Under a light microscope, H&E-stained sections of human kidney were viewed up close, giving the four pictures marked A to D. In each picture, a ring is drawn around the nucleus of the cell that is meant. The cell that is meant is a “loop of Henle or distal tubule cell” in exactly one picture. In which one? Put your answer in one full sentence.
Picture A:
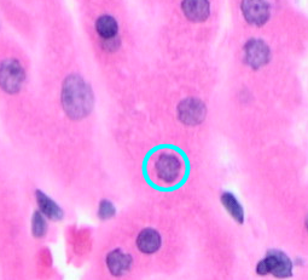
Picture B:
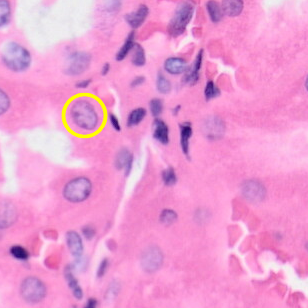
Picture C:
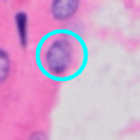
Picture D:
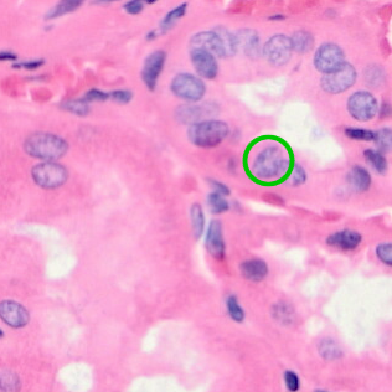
Picture C shows the “loop of Henle or distal tubule cell”.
